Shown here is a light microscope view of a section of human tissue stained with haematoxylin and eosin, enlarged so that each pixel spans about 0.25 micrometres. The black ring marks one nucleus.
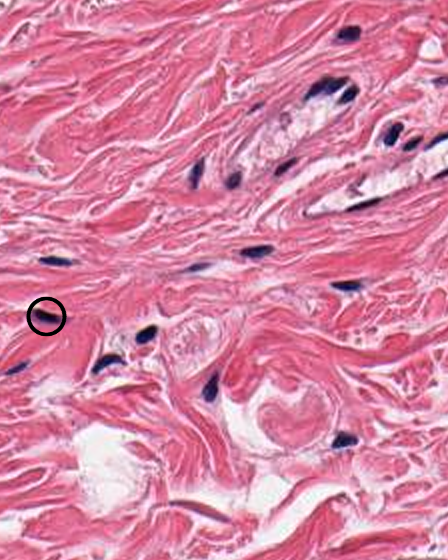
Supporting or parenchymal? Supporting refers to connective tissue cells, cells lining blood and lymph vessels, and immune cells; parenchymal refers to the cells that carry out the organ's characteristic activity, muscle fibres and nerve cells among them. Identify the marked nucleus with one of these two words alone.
supporting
